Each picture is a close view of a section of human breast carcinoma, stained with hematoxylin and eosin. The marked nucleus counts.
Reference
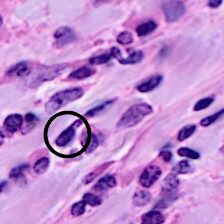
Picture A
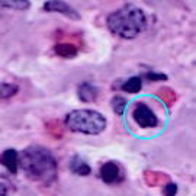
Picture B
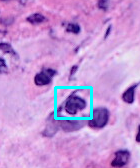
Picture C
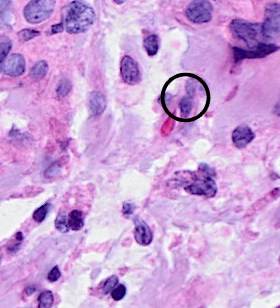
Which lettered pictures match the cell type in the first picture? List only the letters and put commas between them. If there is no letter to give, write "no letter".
A, B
